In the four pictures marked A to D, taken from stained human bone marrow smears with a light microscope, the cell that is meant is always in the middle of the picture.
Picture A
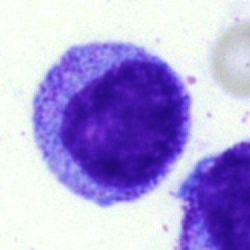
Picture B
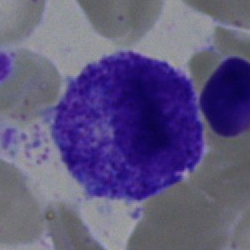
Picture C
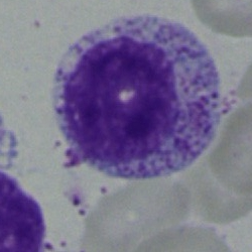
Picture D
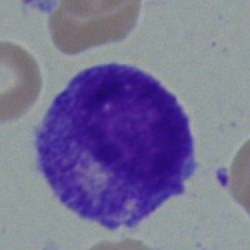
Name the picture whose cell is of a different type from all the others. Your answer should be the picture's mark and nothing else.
B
